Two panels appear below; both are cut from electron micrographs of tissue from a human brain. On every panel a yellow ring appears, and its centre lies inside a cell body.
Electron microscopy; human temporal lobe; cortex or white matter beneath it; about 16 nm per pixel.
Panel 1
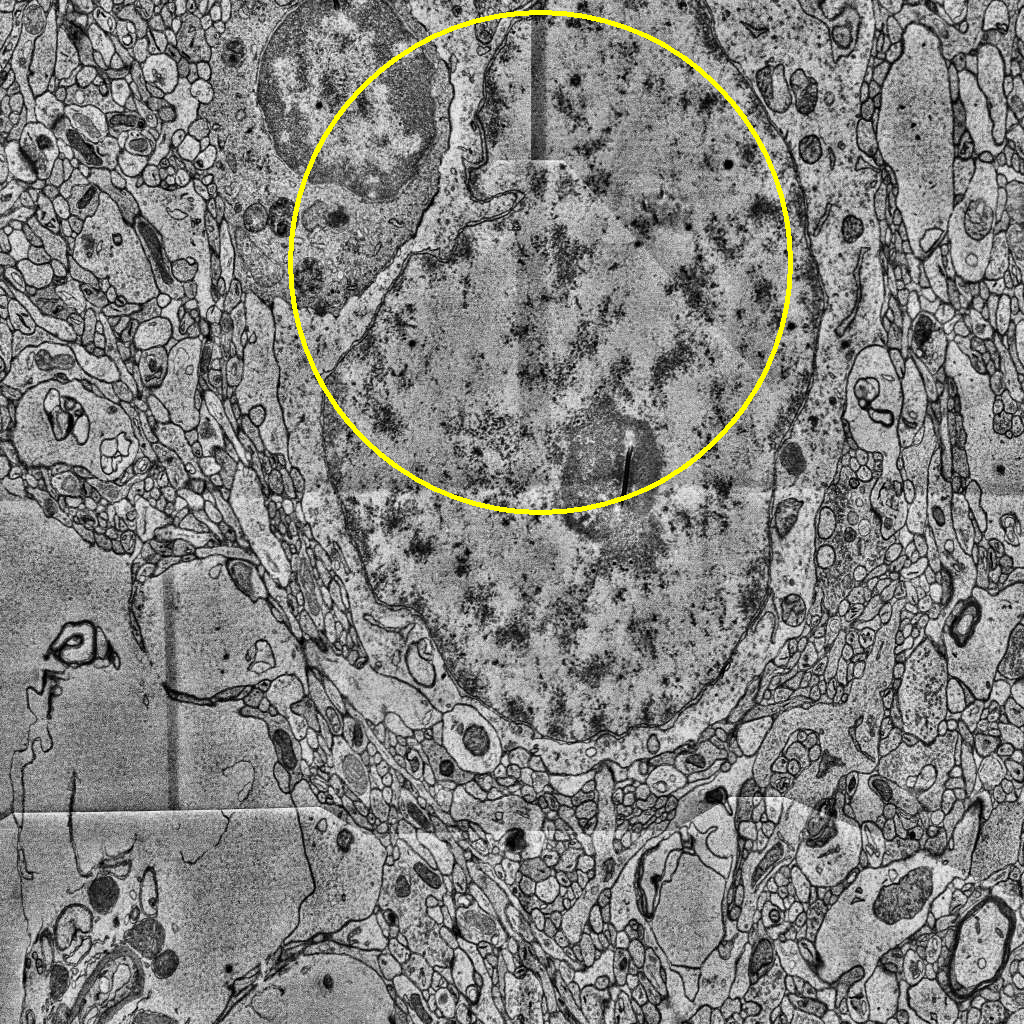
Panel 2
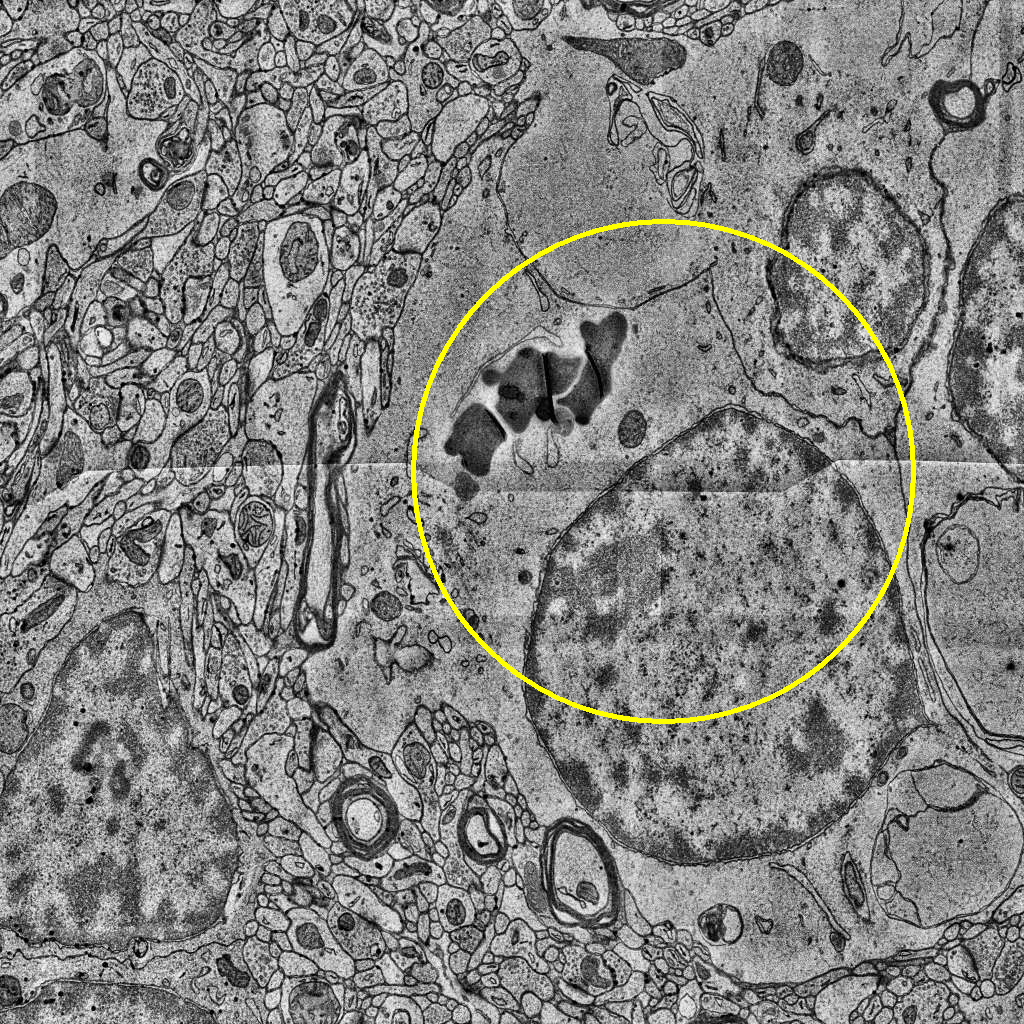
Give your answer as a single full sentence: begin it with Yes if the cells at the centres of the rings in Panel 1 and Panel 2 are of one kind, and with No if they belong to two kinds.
No, the cells at the middle of the rings in Panels 1 and 2 are of two kinds.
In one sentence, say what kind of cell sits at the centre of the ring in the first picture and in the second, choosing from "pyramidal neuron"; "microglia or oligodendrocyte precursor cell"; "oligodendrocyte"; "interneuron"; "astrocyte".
For the first picture it is an interneuron; for the second, an astrocyte.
